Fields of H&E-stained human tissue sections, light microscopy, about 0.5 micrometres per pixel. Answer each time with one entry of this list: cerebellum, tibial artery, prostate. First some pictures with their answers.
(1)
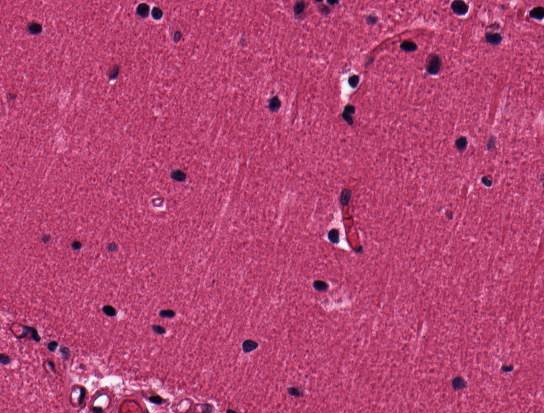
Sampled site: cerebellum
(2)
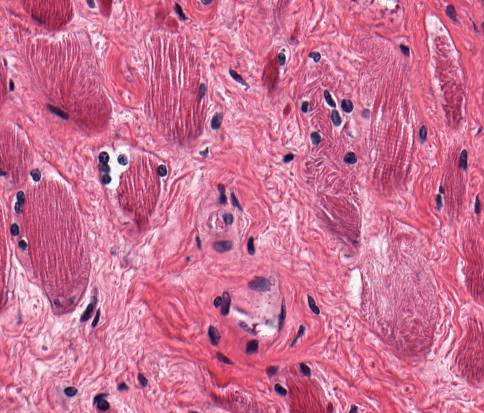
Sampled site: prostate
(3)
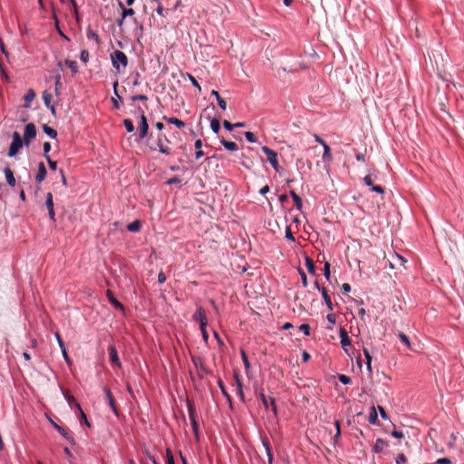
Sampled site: tibial artery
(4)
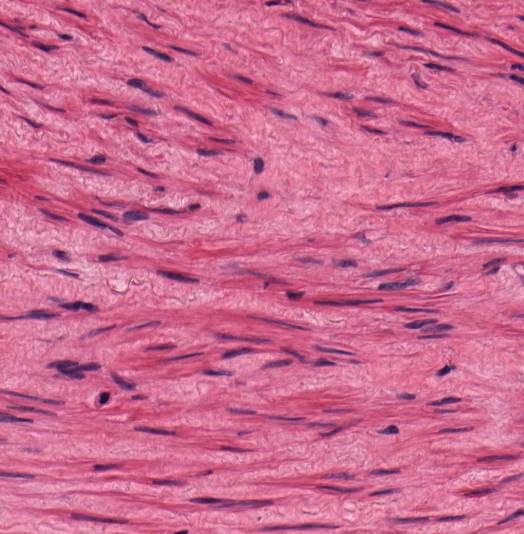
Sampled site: tibial artery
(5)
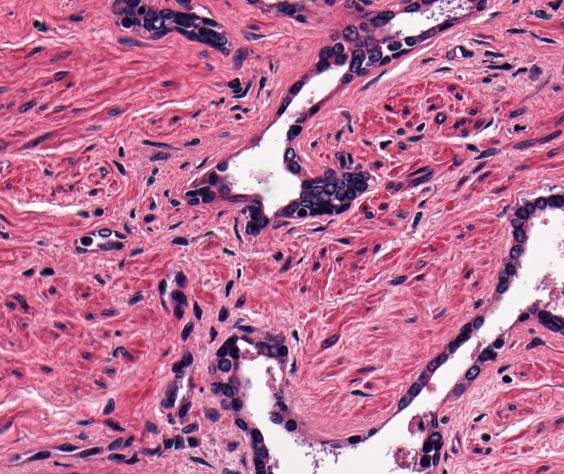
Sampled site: prostate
